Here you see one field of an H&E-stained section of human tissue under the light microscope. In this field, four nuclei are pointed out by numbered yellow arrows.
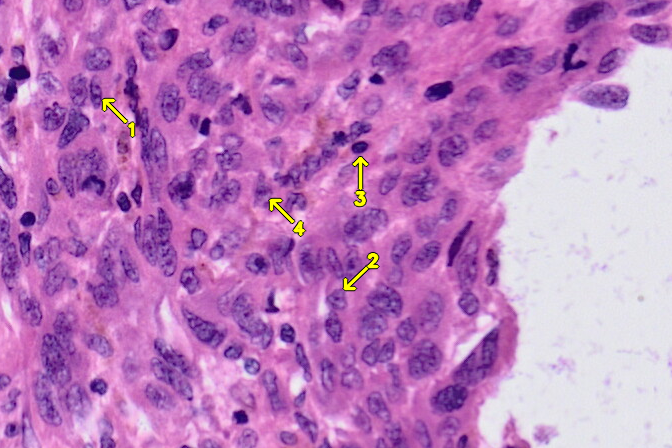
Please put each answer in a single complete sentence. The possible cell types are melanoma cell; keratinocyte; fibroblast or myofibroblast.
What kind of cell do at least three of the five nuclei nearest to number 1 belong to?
The majority of the five nuclei closest to number 1 belong to melanoma cells.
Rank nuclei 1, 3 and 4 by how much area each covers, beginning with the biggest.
By area, largest first, they run 4, 1, 3.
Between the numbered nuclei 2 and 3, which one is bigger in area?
Number 2 is larger; its area is about 1.5 times that of number 3.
